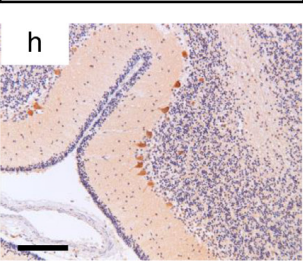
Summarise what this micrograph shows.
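This shows folded cerebellar cortex, with a single row of brown Purkinje cells curving along each folium. Outside the row lies a pale layer with few nuclei, capped at the surface by a thin band of densely packed blue nuclei. Inside the row is a thick layer of crowded small blue nuclei. The brown cells are larger than their neighbours and stained throughout their bodies.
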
